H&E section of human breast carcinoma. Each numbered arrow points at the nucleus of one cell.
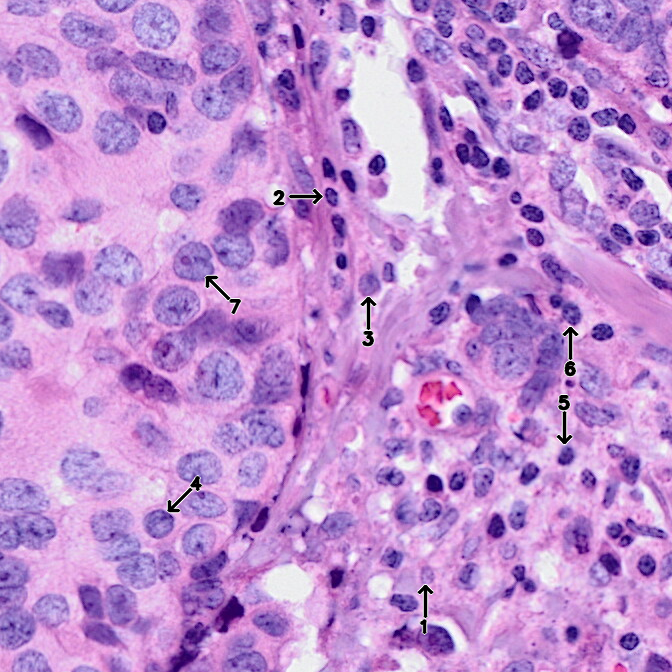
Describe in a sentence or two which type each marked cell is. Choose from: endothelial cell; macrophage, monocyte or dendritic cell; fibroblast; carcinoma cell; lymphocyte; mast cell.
Cells 1 and 3 are macrophages, monocytes or dendritic cells. Cells 2, 5 and 6 are lymphocytes. Cells 4 and 7 are carcinoma cells.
